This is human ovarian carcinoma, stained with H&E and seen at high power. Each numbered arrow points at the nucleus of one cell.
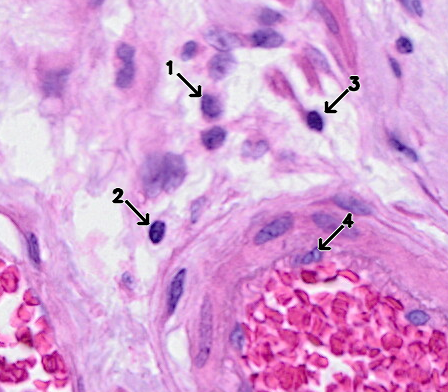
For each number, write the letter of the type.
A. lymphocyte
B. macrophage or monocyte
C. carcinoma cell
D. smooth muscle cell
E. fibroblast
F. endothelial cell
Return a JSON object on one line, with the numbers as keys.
{"1": "B", "2": "A", "3": "A", "4": "F"}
